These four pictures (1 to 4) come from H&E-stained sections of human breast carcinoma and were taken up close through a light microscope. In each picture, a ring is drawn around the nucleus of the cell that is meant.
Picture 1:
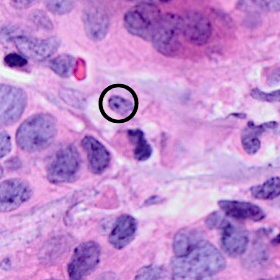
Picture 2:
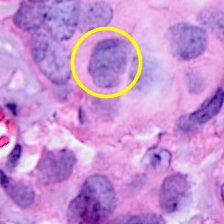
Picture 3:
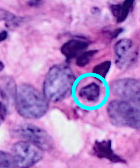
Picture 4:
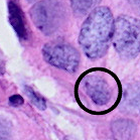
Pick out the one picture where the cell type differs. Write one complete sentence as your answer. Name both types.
Picture 1 is the odd one out: it shows a mast cell, while the others show carcinoma cells.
